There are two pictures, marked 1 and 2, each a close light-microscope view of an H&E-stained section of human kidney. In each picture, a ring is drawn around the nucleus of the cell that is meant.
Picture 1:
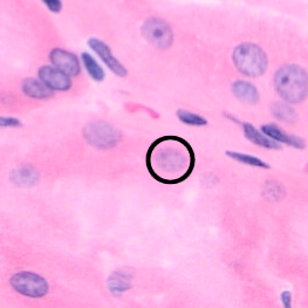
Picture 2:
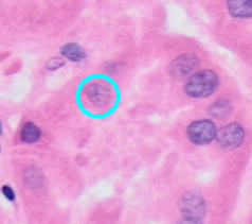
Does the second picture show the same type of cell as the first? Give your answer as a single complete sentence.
Yes, the two pictures both show proximal tubule cells.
